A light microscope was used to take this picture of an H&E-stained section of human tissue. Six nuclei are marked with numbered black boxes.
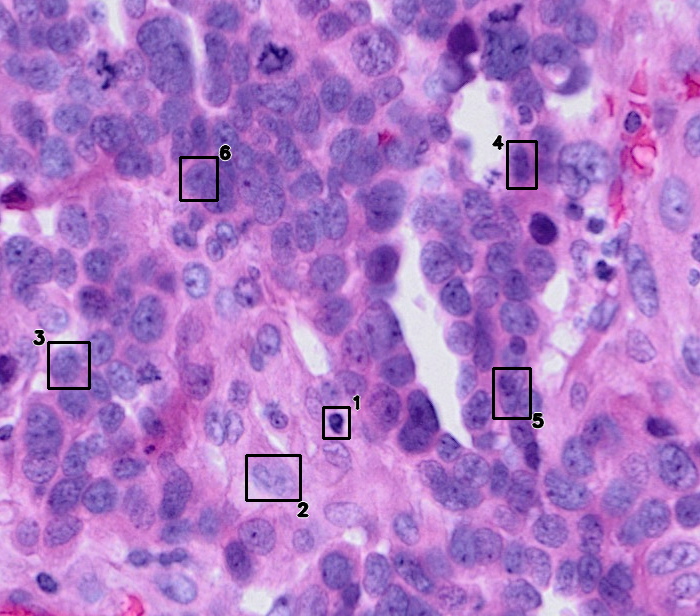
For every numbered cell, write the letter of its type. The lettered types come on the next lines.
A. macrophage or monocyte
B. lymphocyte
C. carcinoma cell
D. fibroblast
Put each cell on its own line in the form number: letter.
1: B
2: D
3: C
4: C
5: C
6: C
